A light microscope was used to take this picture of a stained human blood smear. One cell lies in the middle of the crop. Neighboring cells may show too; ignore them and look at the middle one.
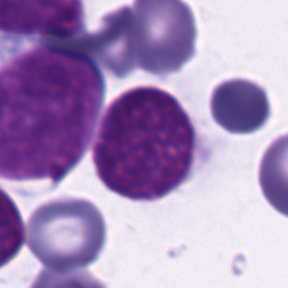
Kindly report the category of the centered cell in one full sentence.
The middle position in this crop is taken by a myeloblast.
